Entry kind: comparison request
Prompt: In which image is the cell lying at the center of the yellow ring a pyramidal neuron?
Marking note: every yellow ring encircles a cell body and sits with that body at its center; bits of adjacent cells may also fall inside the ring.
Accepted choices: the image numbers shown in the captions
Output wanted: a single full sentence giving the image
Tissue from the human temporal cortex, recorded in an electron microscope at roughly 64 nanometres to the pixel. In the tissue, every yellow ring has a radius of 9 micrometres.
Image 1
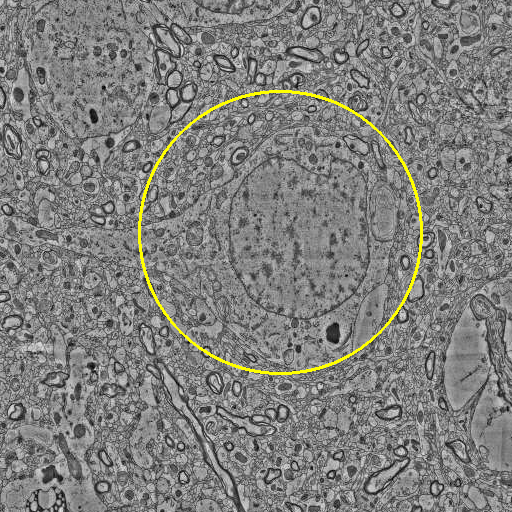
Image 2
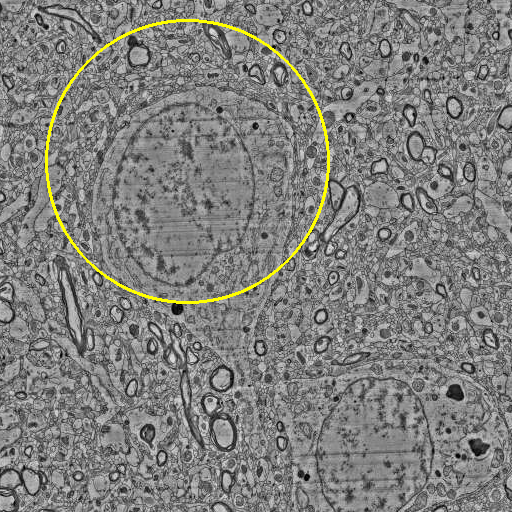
In image 1, the ringed cell at the center matches the prompt.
